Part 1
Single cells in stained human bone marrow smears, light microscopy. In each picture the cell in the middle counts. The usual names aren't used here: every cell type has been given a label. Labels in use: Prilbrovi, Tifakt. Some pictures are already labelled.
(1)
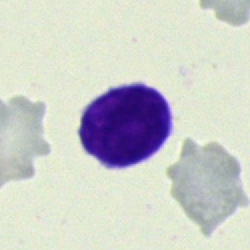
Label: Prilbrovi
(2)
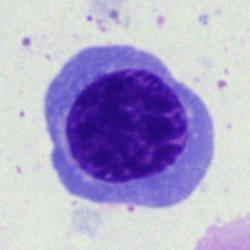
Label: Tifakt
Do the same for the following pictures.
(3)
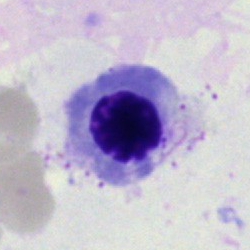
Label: Tifakt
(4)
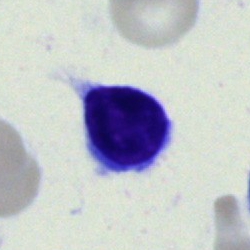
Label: Prilbrovi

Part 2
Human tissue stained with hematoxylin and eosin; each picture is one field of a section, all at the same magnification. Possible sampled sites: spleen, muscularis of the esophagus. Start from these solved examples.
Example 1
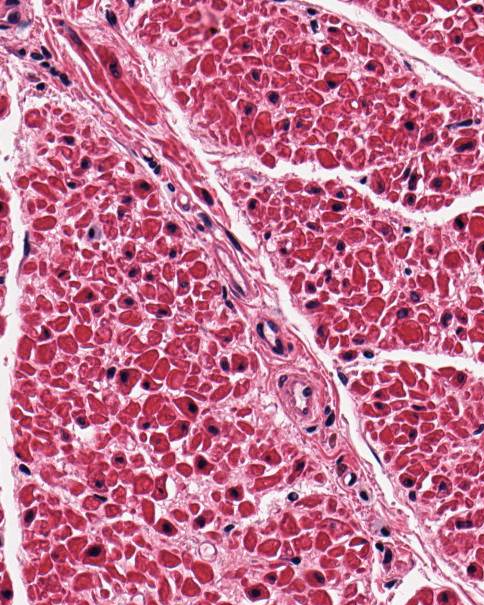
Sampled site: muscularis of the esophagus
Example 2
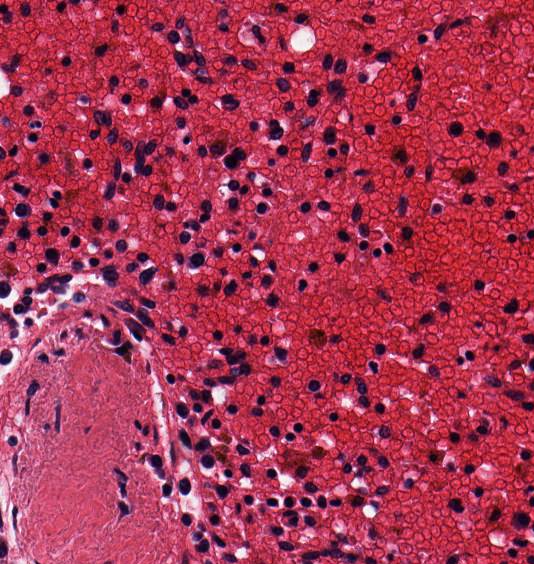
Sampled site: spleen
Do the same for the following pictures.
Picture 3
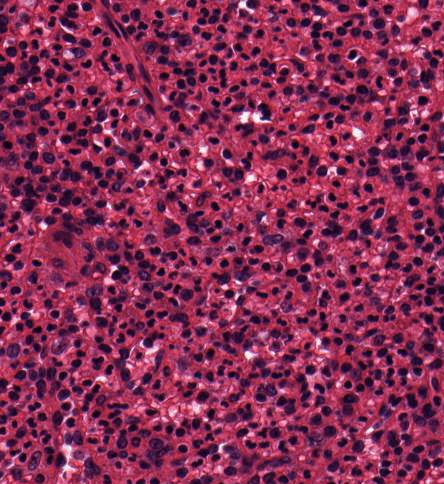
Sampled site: spleen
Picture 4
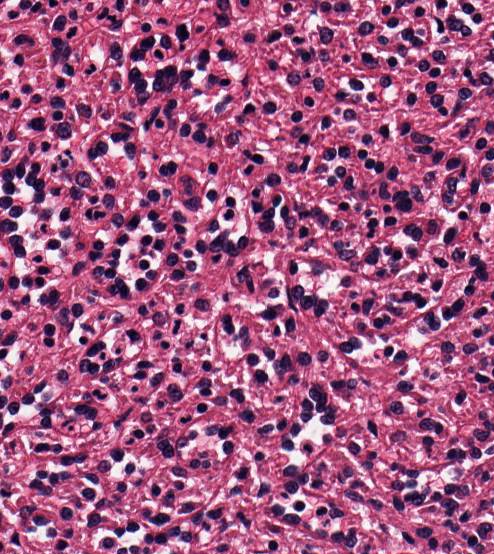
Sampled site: spleen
